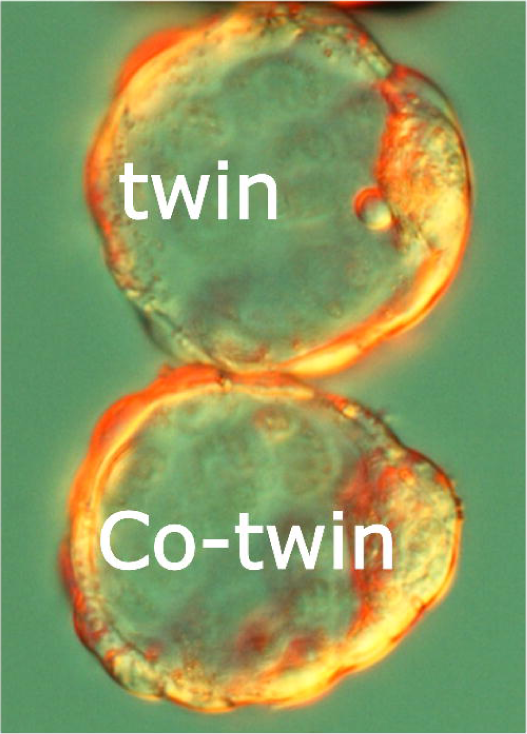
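Two blastocysts lie touching, one above the other, seen in relief contrast. Each is a round embryo. A thin outer layer of flattened cells encloses a large, clear, fluid-filled cavity. The cells of the outer layer appear bright orange at the rim. A thicker crescent of cells along part of each wall marks where the inner cells gather. The two embryos are of similar size and shape, and their walls are pressed together where they meet.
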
